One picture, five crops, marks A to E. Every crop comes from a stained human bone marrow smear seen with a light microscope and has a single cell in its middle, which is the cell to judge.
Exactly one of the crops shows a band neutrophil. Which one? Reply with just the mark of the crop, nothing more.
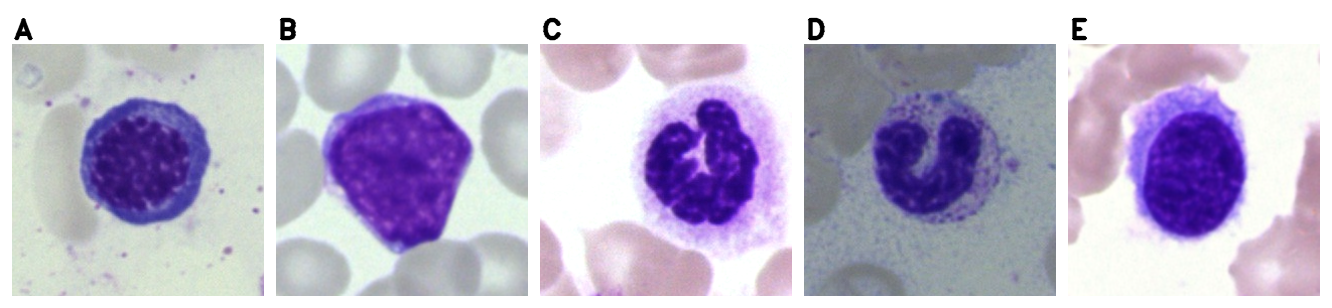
D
